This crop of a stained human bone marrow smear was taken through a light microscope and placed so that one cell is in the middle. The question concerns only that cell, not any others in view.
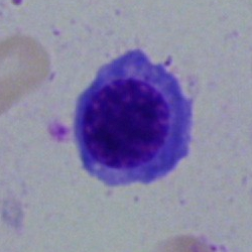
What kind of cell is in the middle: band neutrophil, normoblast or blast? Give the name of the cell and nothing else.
normoblast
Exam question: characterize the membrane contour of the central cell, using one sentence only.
A smooth outline is absent here, replaced by ragged stretches or projections.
